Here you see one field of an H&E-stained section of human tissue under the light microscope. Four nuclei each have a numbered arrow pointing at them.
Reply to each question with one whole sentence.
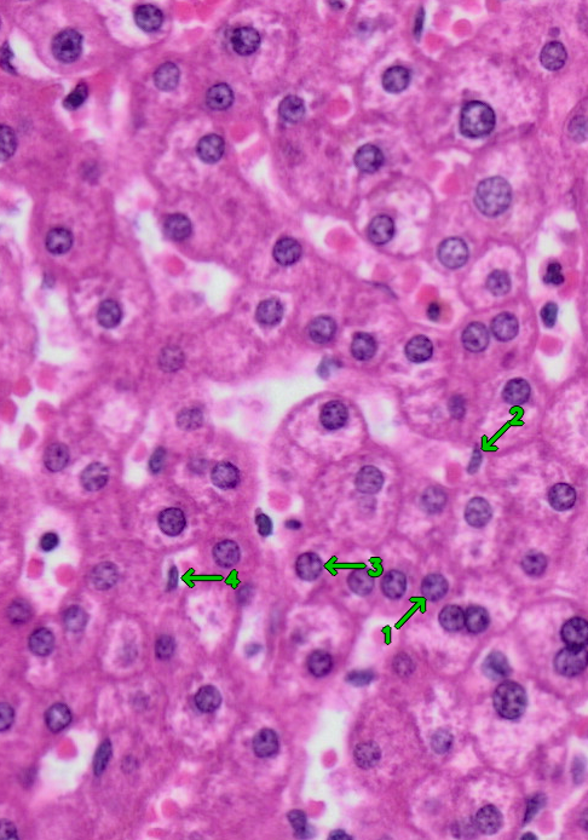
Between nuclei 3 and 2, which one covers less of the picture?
Nucleus 2 is the smaller one; nucleus 3 covers about 2 times its area.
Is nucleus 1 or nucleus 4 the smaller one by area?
With nucleus 1 about 1.5 times its size, nucleus 4 is the smaller of the two.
